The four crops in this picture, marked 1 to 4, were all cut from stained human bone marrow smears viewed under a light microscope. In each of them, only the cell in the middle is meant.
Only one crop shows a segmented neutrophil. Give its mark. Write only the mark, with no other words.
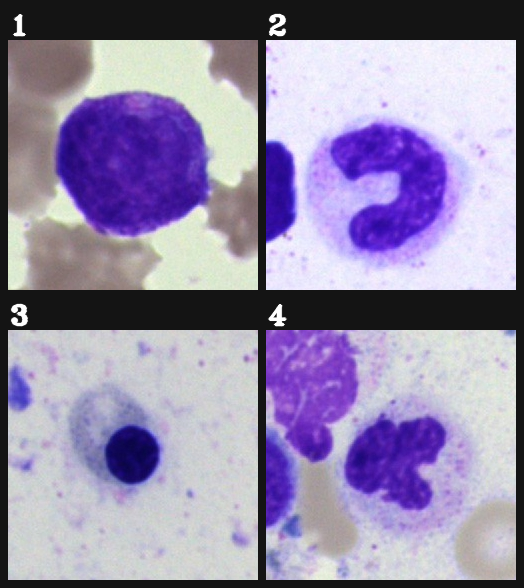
4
